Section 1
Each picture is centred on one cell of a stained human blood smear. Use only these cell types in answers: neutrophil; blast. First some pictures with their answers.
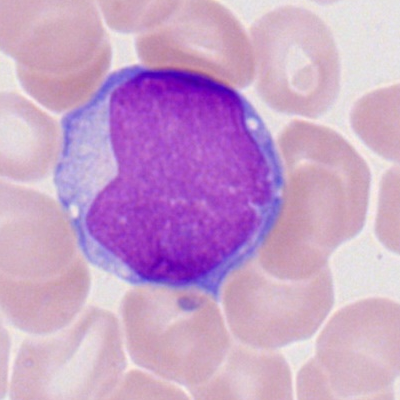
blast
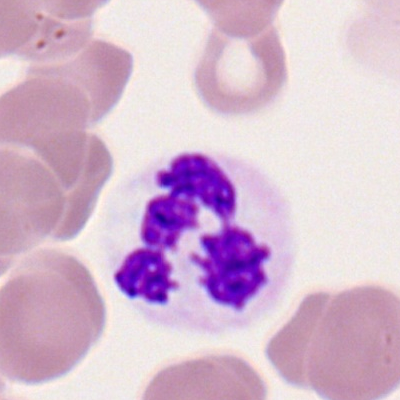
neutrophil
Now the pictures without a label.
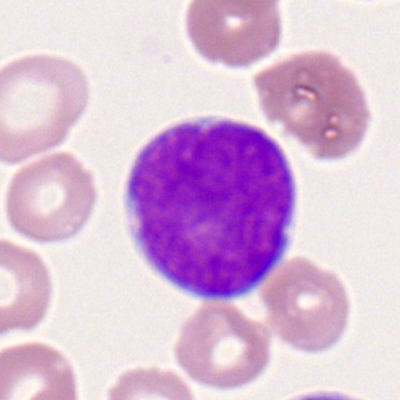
blast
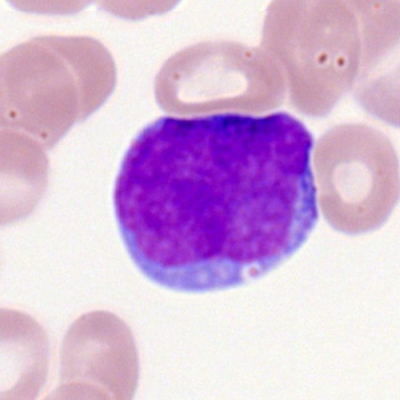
blast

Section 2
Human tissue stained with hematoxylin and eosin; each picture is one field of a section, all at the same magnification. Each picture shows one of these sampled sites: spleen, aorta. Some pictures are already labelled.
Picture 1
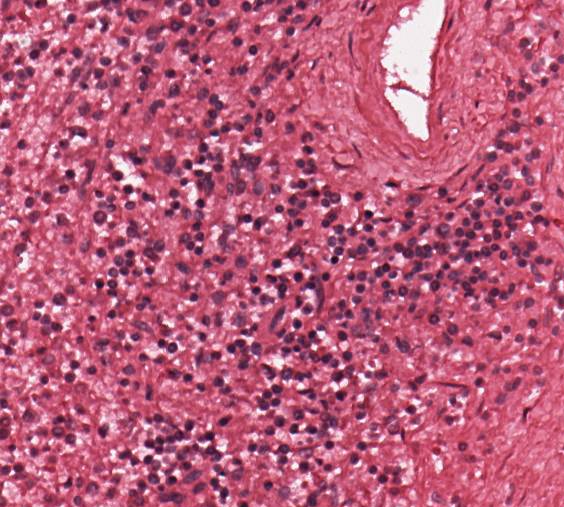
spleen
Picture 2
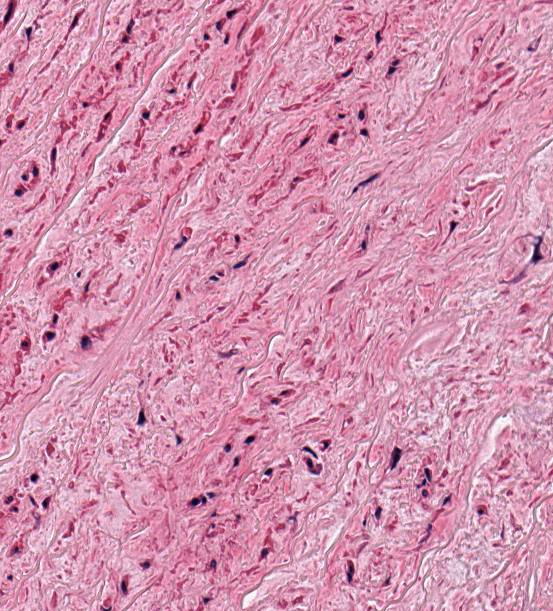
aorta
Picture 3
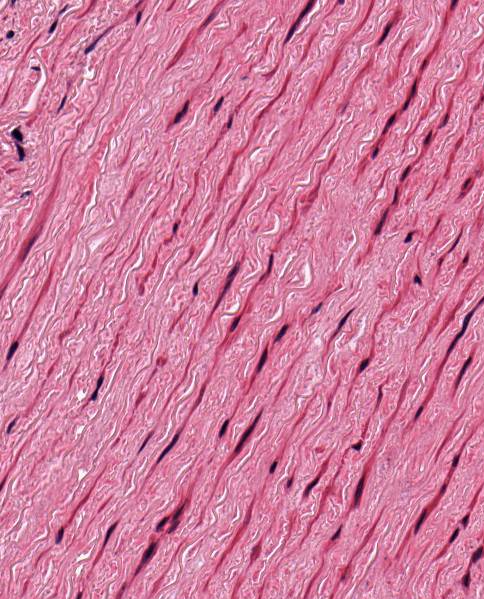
aorta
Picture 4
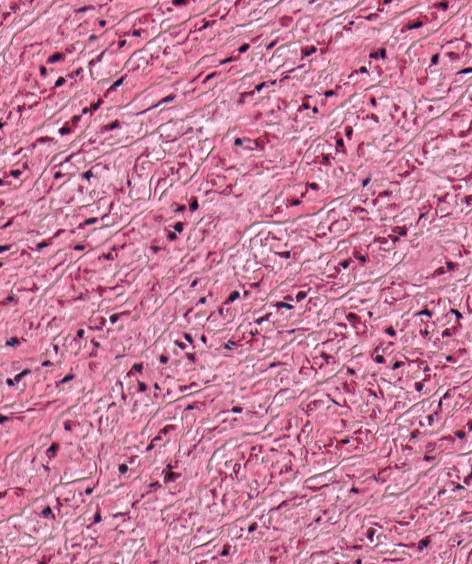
aorta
